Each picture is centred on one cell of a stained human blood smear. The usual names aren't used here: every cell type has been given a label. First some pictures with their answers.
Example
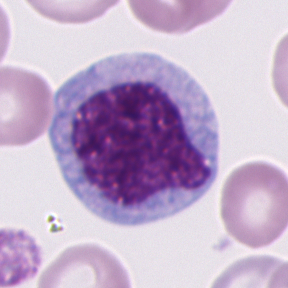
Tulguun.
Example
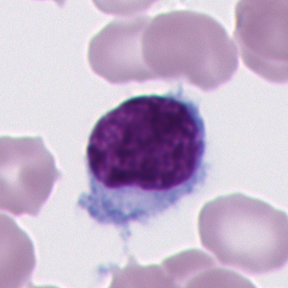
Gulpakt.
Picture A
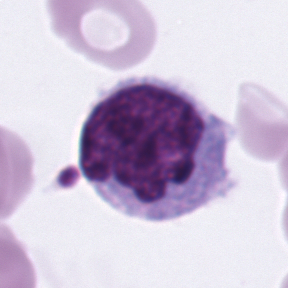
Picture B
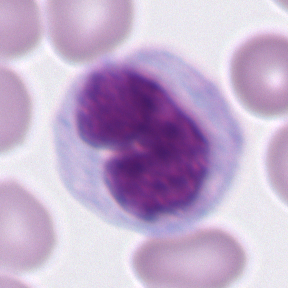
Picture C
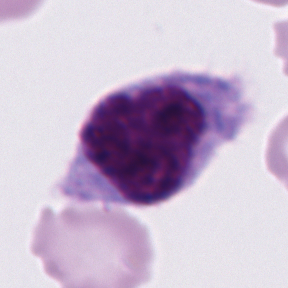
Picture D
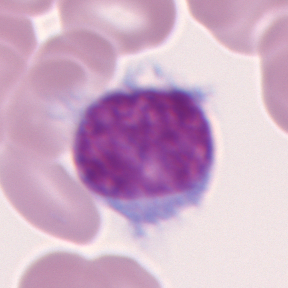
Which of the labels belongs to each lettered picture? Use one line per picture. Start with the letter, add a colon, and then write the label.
A: Tulguun.
B: Tulguun.
C: Gulpakt.
D: Gulpakt.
